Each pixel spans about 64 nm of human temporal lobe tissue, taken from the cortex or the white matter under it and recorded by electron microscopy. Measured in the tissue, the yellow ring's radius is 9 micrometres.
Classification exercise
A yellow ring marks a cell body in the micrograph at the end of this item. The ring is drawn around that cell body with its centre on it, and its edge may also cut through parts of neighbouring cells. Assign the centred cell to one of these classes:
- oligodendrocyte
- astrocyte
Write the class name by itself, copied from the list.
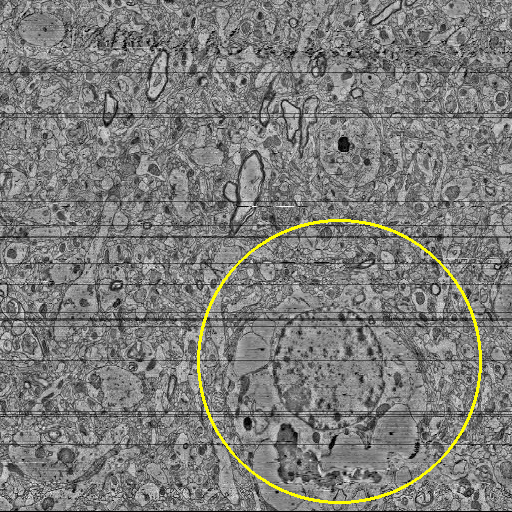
astrocyte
